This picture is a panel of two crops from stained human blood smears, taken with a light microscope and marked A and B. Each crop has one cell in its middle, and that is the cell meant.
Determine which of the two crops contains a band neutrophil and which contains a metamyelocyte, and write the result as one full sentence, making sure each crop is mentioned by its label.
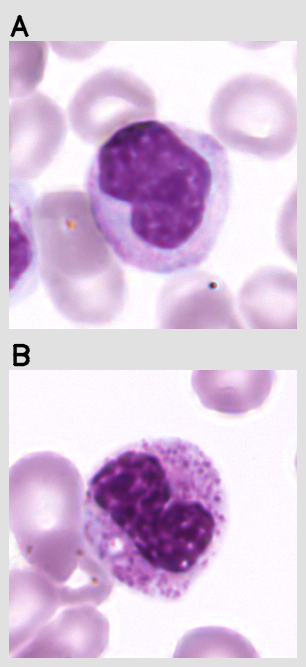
The cell centred in crop A is a metamyelocyte, and the one centred in crop B is a band neutrophil.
